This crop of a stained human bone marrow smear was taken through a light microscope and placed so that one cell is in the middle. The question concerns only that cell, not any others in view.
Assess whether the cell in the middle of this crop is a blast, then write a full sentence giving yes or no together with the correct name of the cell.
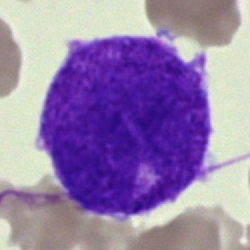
Yes, the identification of the central cell as a blast is correct.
